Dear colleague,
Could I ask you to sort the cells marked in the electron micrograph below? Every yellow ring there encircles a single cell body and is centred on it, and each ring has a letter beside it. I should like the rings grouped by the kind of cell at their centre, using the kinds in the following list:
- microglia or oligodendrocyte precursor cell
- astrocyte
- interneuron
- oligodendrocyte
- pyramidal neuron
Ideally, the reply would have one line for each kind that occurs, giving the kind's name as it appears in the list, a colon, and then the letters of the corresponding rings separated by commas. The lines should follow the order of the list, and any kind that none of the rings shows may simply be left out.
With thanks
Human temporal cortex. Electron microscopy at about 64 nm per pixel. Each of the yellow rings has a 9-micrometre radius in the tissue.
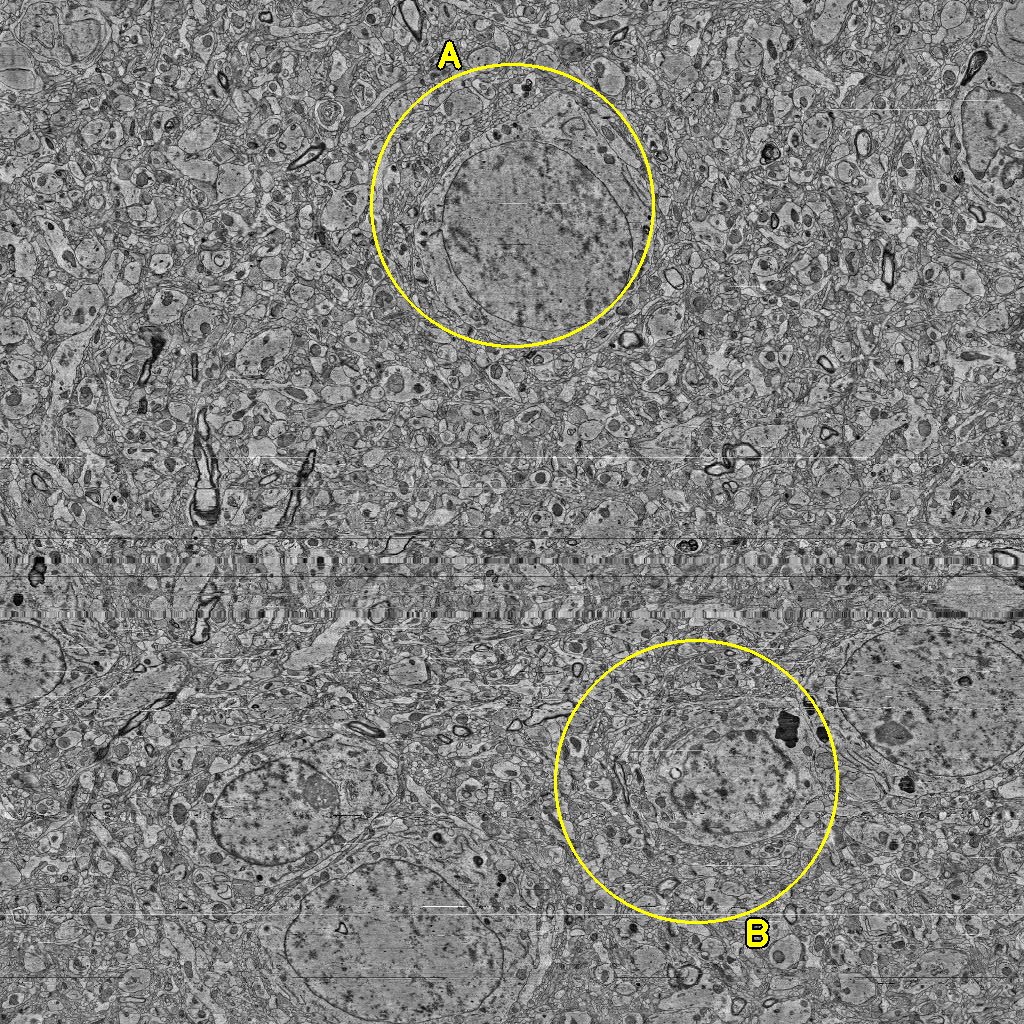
interneuron: B
pyramidal neuron: A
